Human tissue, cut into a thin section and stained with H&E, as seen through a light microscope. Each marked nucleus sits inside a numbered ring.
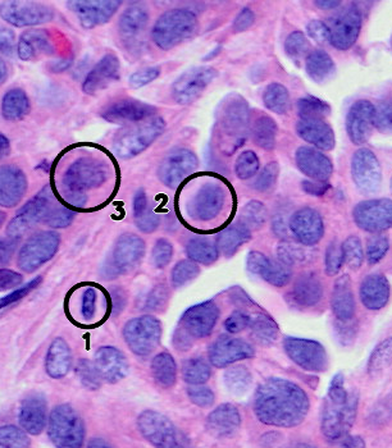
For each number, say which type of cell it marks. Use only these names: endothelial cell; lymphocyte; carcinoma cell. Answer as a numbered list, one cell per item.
1. lymphocyte
2. carcinoma cell
3. carcinoma cell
